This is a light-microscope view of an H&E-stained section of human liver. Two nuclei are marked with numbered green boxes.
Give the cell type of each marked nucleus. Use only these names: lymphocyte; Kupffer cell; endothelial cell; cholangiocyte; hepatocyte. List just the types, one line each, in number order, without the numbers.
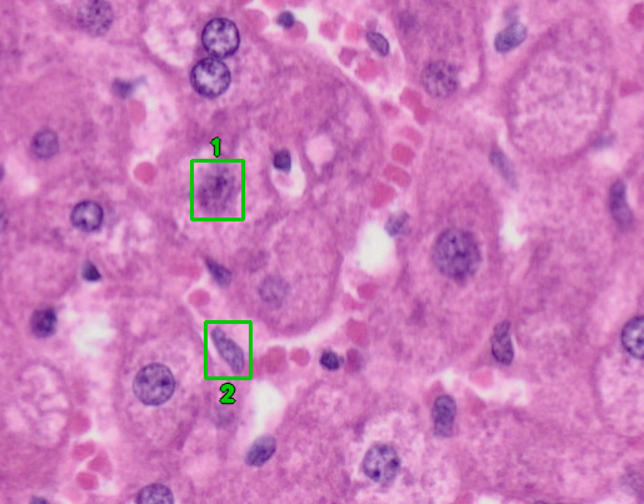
hepatocyte
Kupffer cell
